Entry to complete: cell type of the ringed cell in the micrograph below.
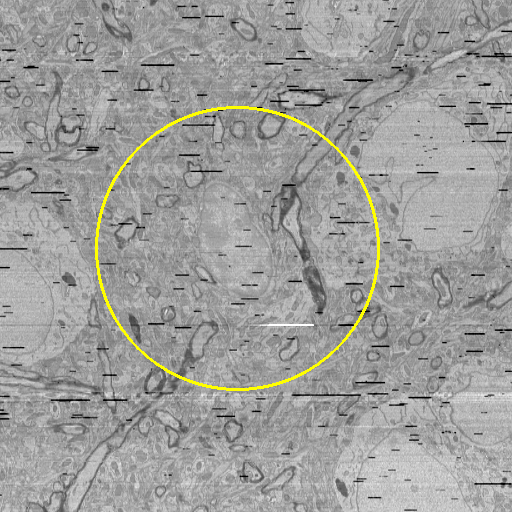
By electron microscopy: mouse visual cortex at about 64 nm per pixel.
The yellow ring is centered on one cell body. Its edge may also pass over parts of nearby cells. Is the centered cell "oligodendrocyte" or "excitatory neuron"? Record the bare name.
oligodendrocyte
